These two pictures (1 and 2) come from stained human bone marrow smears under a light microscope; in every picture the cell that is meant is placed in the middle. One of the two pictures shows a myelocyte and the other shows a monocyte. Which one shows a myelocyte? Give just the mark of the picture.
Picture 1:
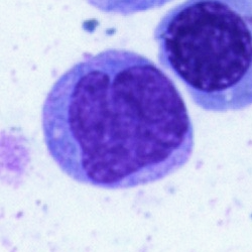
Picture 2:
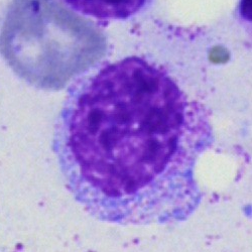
2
